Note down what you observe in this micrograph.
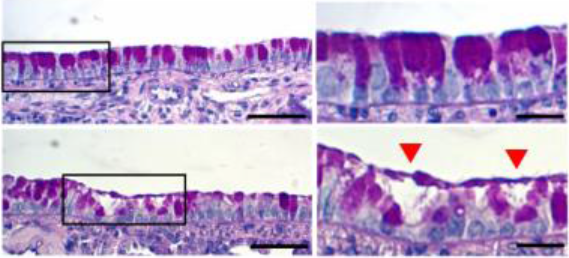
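Sections of airway lining, stained so that mucus appears magenta and nuclei and connective tissue appear blue-violet. In the upper row a continuous columnar epithelium sits on a thin connective tissue layer; its cells carry large, rounded, magenta-filled cups of mucus at their tops, with blue nuclei crowded toward the base. In the lower row the lining is uneven: magenta mucus cells are still present, but in places the epithelium is thinned and disrupted, leaving pale empty spaces, and a thin stained layer of mucus lies stuck along the luminal surface above the damaged stretch.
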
